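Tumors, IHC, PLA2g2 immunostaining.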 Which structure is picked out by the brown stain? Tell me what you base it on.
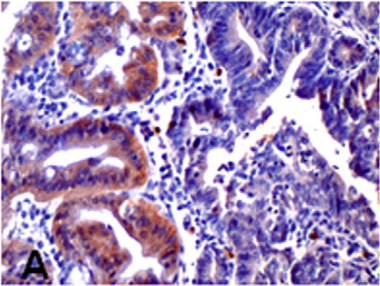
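Brown stain lies in the cytoplasm of cells lining tubular structures with central lumens. The stroma between these structures is mostly blue. That points to this answer: glands.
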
